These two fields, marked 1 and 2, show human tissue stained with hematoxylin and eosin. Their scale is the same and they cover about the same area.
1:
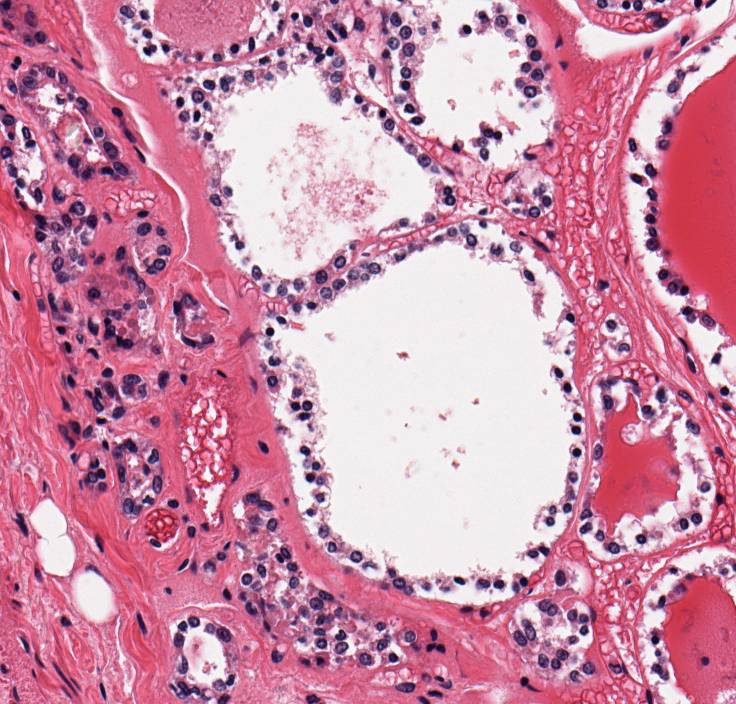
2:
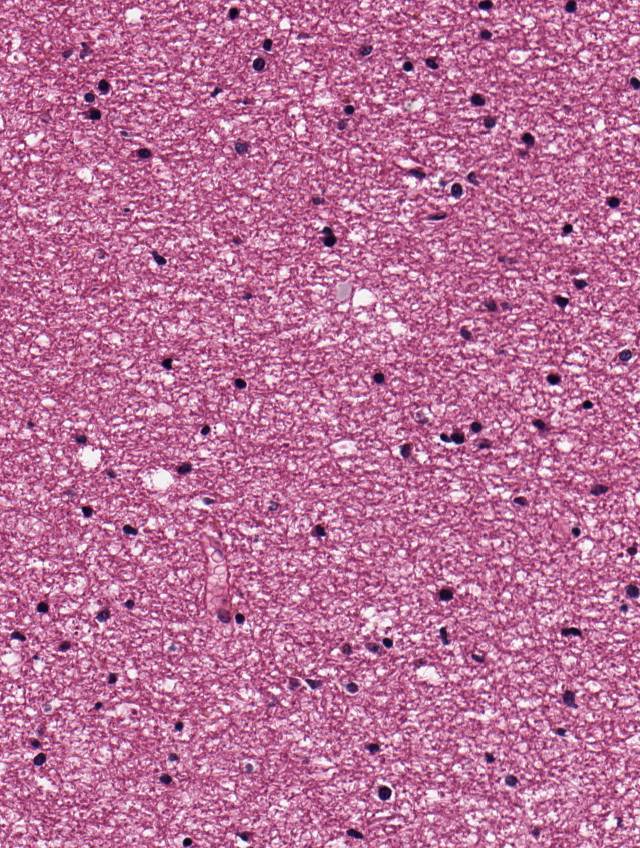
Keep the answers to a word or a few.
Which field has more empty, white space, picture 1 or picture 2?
1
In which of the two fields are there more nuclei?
1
